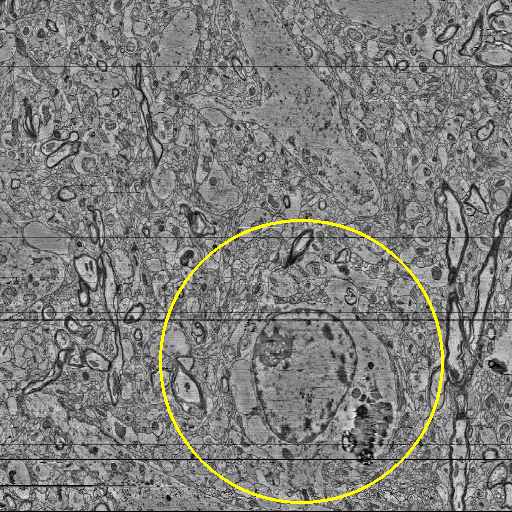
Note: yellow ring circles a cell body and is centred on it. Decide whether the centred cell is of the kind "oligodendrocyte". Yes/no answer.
No, the centred cell is of another kind.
